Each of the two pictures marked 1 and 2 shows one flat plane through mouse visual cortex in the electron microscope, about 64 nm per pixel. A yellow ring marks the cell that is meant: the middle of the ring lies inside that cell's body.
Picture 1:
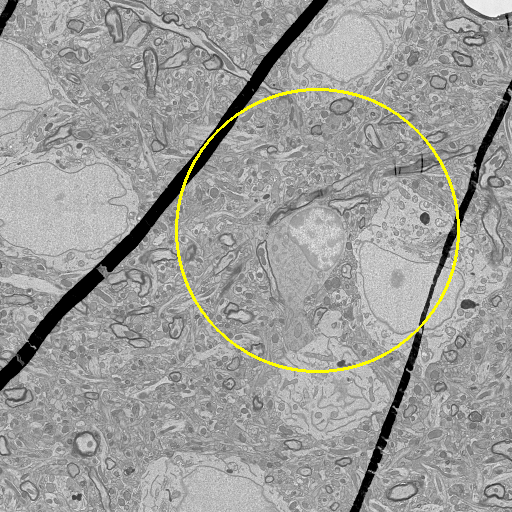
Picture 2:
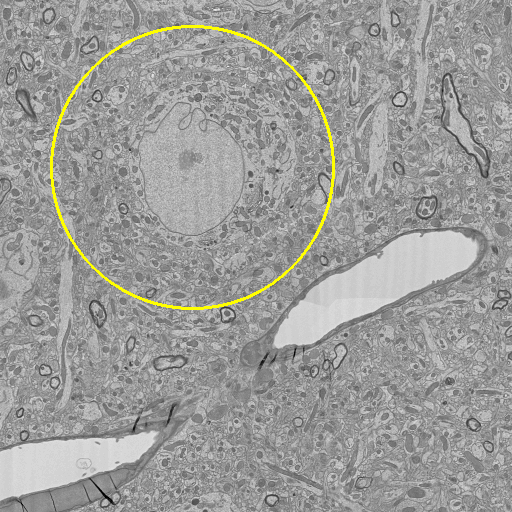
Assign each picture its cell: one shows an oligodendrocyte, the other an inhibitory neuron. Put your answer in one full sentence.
Picture 1 shows an oligodendrocyte and picture 2 shows an inhibitory neuron.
